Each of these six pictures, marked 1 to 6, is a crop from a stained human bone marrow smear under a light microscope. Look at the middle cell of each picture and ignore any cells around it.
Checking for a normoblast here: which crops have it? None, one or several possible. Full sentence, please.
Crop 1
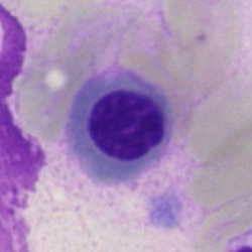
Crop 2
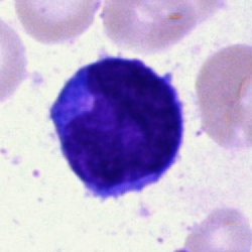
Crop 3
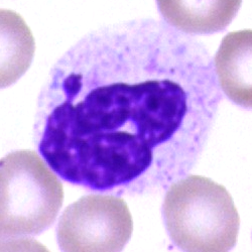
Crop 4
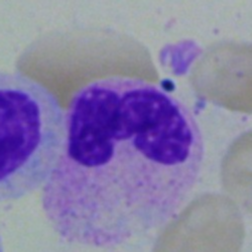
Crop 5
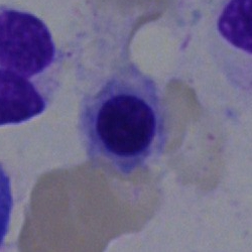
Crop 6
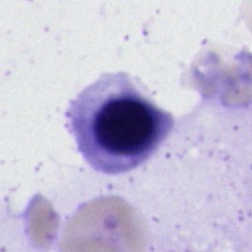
Crops 1, 5 and 6 feature normoblasts as the cells at their centres.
